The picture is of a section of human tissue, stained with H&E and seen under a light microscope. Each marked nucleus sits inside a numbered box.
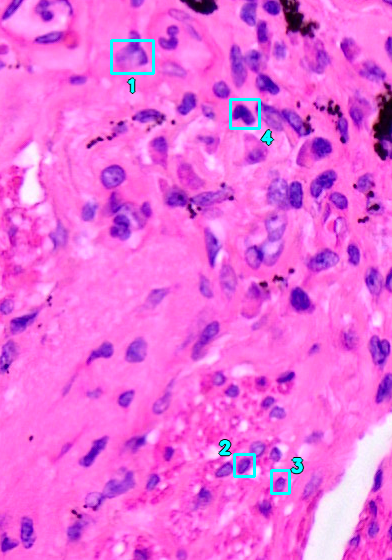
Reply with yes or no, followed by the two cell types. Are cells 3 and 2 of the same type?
Yes, by cell type, cells 3 and 2 are both smooth muscle cells or pericytes.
